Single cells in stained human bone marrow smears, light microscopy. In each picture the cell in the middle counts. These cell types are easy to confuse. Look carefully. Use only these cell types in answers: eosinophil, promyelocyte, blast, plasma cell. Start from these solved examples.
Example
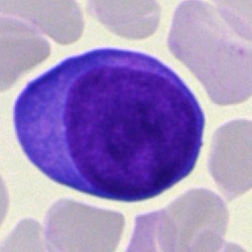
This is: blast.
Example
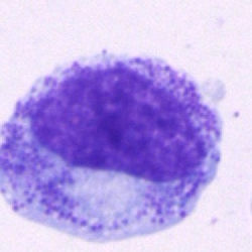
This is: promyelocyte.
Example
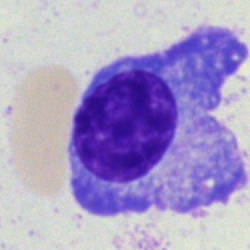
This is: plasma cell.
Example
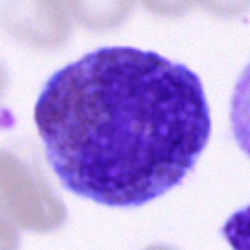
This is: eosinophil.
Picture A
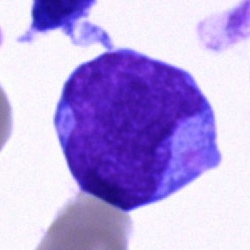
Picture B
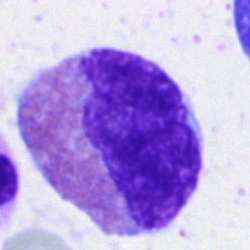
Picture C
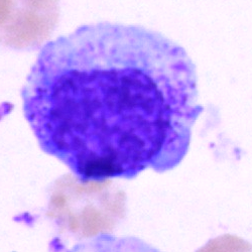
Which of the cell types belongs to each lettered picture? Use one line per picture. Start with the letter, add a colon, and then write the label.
A: blast.
B: eosinophil.
C: promyelocyte.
